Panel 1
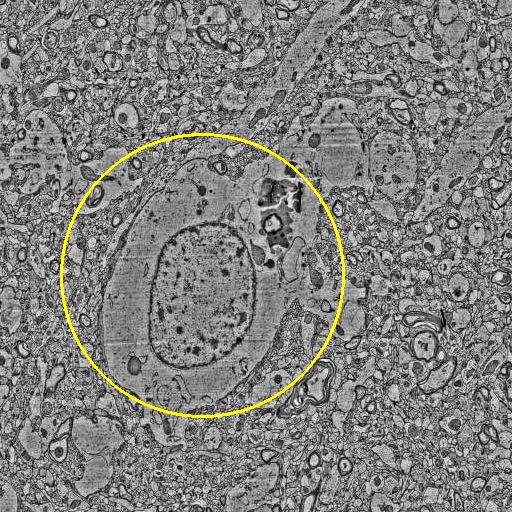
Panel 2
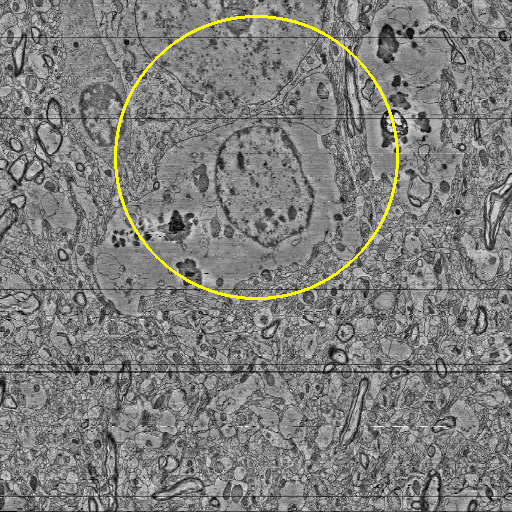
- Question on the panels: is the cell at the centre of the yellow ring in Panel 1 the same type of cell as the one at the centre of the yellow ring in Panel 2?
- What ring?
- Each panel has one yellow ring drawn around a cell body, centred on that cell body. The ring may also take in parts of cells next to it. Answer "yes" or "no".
yes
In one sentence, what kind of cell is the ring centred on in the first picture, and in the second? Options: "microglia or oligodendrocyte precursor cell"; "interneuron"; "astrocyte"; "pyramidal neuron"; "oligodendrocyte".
Both rings mark an astrocyte, one in each picture.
